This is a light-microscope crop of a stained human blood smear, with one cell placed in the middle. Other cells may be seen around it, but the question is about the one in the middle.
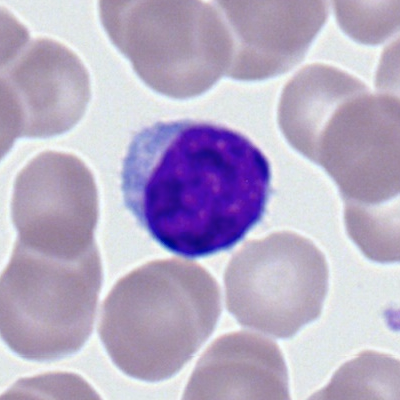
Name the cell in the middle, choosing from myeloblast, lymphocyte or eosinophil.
lymphocyte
